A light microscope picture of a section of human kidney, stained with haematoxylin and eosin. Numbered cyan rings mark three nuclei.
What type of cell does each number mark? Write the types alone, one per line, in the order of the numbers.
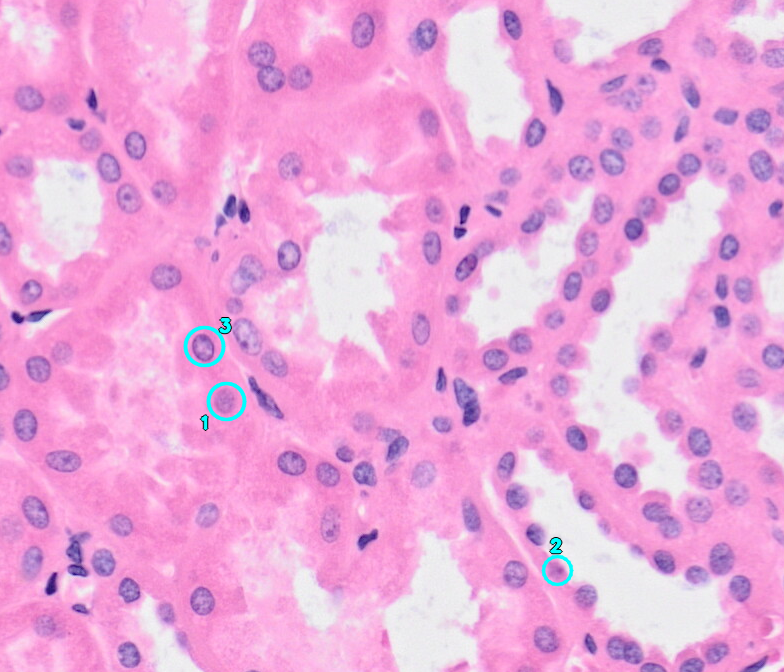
proximal tubule cell
loop of Henle or distal tubule cell
proximal tubule cell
